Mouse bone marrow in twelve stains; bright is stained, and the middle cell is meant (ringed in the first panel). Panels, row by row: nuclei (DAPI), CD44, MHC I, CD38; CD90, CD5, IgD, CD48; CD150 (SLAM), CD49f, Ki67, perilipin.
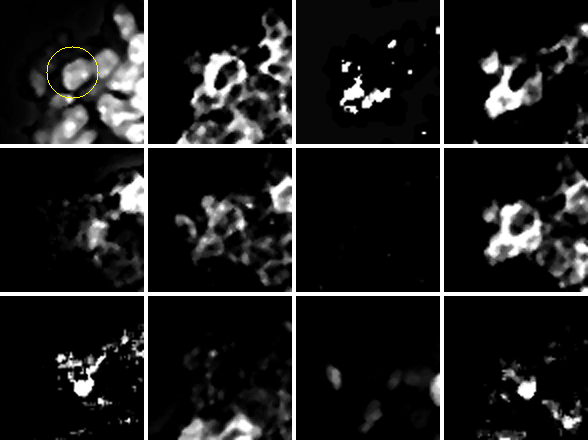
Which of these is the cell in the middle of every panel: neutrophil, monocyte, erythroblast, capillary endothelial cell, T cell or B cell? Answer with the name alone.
monocyte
